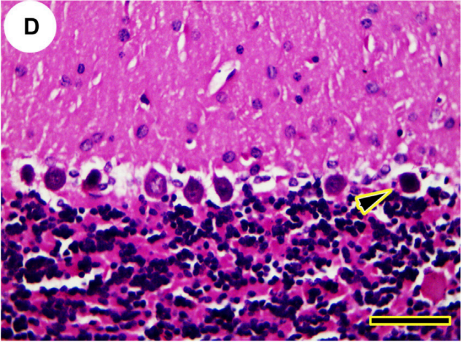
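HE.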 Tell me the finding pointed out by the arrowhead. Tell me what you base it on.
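Degenerated Purkinje cells. The arrowhead marks a large cell in the row between the pink upper layer and the dense dark layer. The marked cell is dark and shrunken, surrounded by a clear halo.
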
